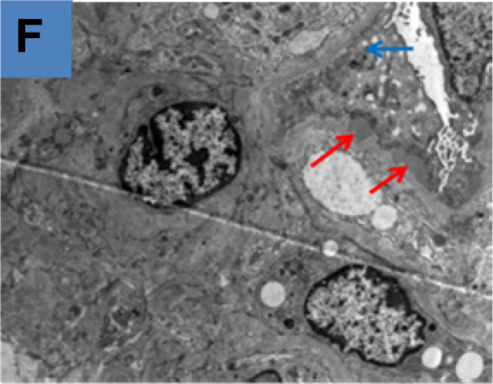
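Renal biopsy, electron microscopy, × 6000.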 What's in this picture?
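This electron micrograph shows glomerular cells, with two nuclei containing dark, clumped chromatin along the nuclear rim and in patches. Dark grey electron-dense deposits lie close to a pale rounded space between the nuclei. Near the upper right, beside a clear white space, the epithelial cell cytoplasm forms a continuous band along the wall rather than a row of separate foot processes, consistent with their fusion.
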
